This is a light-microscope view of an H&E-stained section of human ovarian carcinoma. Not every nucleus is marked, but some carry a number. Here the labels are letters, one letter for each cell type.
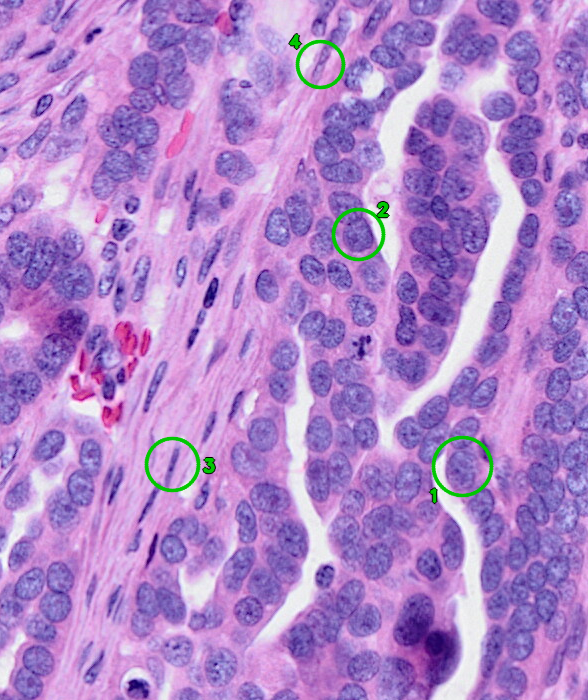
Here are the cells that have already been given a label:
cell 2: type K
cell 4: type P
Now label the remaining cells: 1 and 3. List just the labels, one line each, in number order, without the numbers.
type K
type P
